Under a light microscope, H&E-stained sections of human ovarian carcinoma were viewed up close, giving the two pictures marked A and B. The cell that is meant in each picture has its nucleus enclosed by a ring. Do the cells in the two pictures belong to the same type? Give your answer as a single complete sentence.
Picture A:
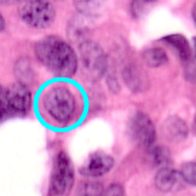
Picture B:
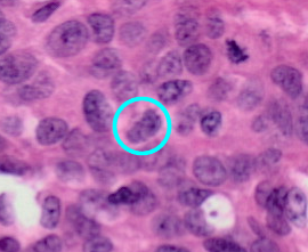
No, they differ: the cell is a carcinoma cell in picture A and a “macrophage or monocyte” in picture B.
